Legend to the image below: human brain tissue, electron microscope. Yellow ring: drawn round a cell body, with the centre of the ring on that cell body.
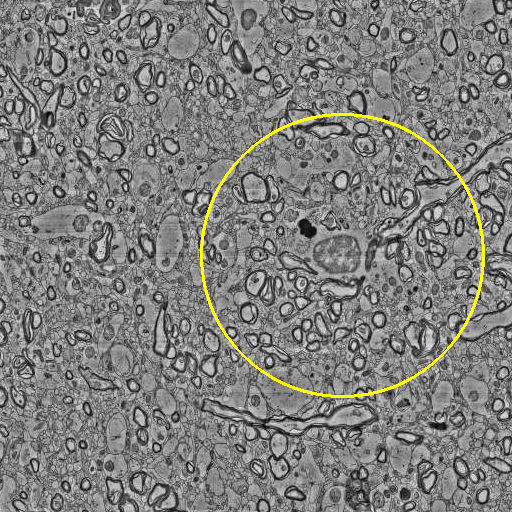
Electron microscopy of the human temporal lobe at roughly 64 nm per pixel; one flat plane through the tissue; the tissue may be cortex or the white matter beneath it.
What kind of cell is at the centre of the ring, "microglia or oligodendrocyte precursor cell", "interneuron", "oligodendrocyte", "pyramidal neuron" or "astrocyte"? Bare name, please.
oligodendrocyte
